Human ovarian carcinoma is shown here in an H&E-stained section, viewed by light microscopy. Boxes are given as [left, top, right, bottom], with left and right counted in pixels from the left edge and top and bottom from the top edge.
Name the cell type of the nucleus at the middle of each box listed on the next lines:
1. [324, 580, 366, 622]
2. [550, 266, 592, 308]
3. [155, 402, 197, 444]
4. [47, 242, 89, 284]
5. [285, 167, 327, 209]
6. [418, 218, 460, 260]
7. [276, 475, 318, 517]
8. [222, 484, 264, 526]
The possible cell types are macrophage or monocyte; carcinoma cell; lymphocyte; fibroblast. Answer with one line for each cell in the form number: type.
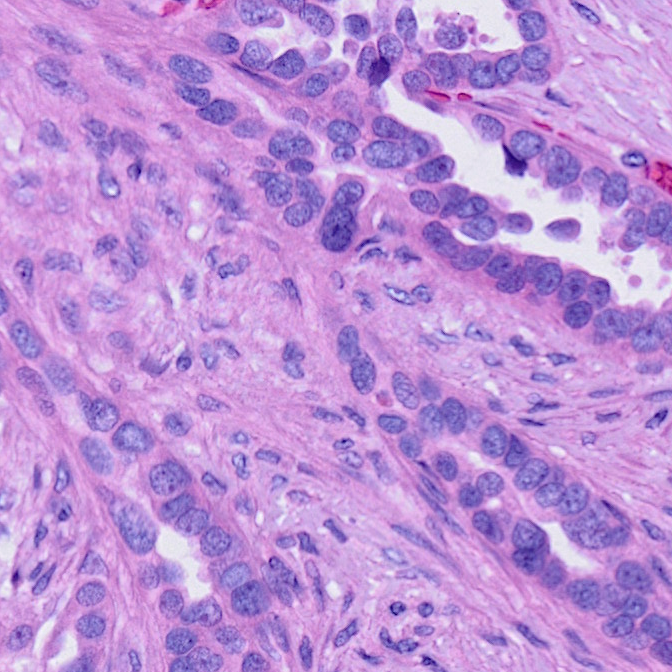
1: fibroblast
2: carcinoma cell
3: fibroblast
4: fibroblast
5: carcinoma cell
6: carcinoma cell
7: fibroblast
8: fibroblast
